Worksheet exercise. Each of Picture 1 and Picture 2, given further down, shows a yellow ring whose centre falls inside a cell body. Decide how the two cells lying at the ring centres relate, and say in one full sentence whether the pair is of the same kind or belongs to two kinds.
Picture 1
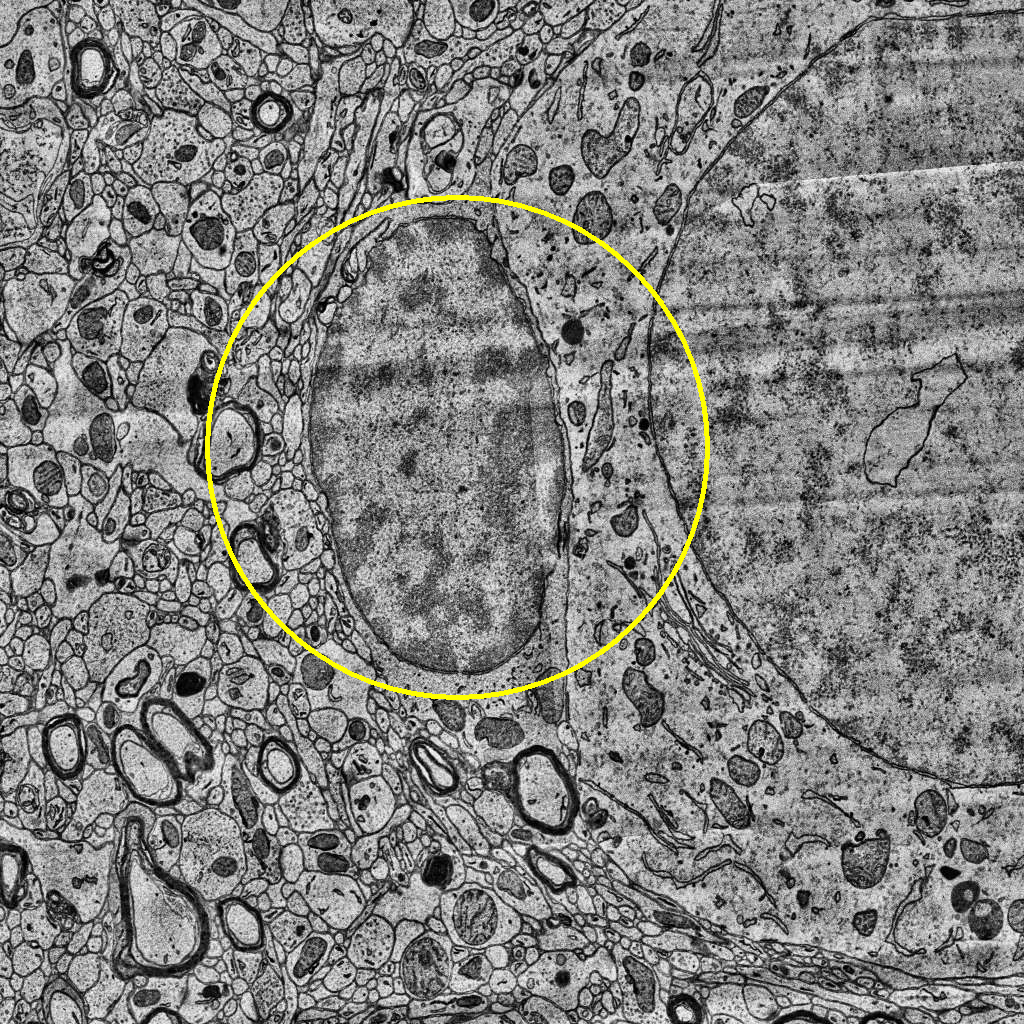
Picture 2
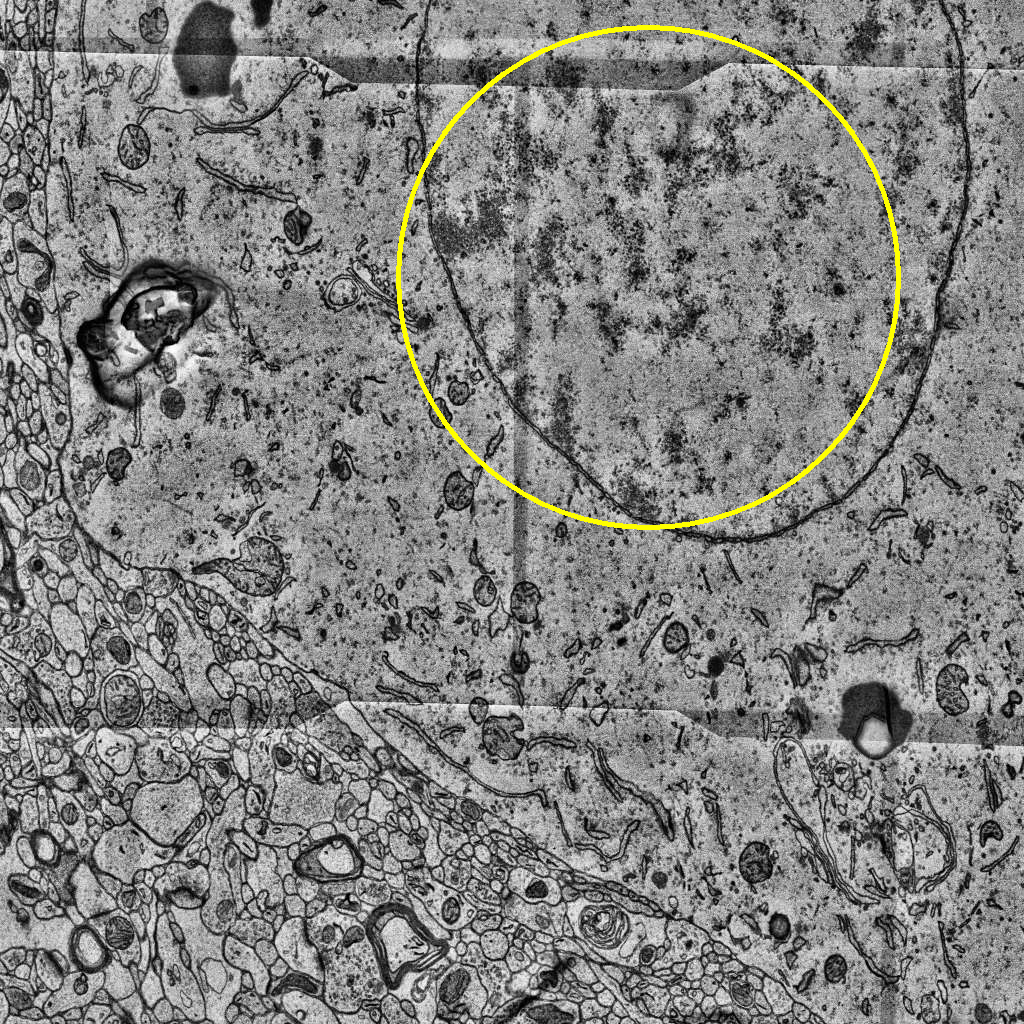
The cells at the ring centres in Picture 1 and Picture 2 belong to two kinds.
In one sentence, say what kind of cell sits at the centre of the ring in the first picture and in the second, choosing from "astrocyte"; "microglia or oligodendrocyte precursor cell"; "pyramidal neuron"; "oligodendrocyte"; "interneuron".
The cell in the first picture is an oligodendrocyte, and the cell in the second is a pyramidal neuron.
